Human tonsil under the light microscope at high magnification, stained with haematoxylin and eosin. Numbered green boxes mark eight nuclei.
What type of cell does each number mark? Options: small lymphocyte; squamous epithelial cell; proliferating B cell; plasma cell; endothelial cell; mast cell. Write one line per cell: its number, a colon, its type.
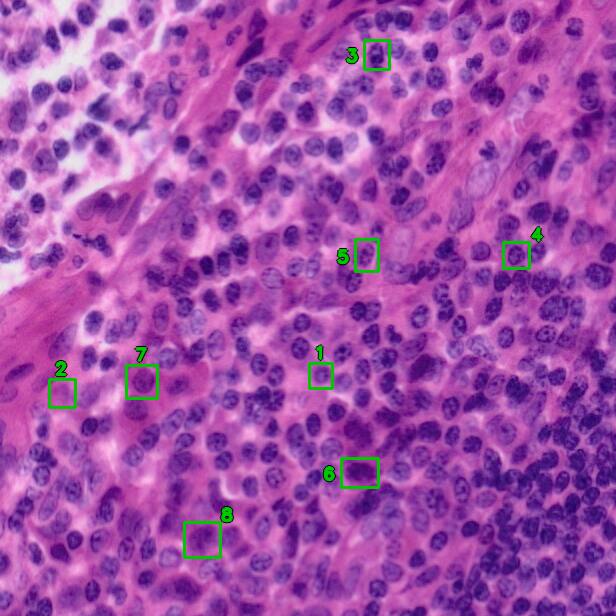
1: plasma cell
2: squamous epithelial cell
3: plasma cell
4: plasma cell
5: plasma cell
6: squamous epithelial cell
7: squamous epithelial cell
8: squamous epithelial cell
